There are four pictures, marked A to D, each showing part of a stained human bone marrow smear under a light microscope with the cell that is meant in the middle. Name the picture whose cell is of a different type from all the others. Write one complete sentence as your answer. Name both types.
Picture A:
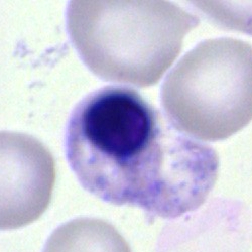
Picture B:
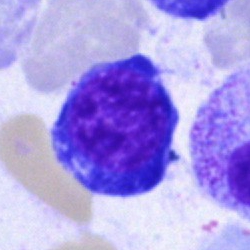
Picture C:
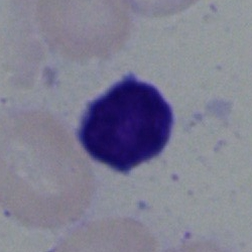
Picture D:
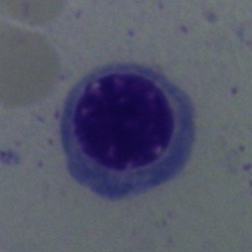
Picture C differs, because its cell is a lymphocyte and the rest are erythroblasts.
